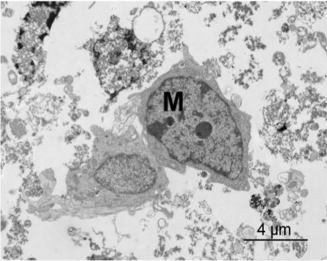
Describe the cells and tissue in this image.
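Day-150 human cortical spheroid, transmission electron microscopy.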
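The cell has a large nucleus that fills most of its body, with dark clumps of condensed chromatin, particularly along the nuclear envelope, and a paler interior. A thin band of cytoplasm surrounds the nucleus, and the cell outline is irregular, with short extensions. Closely pressed against it lies a second, more elongated cell with its own oval nucleus. Around the pair the surrounding space is open and contains scattered membranous debris, small vesicles and dark granular fragments, with further cell profiles at the upper left edge.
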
